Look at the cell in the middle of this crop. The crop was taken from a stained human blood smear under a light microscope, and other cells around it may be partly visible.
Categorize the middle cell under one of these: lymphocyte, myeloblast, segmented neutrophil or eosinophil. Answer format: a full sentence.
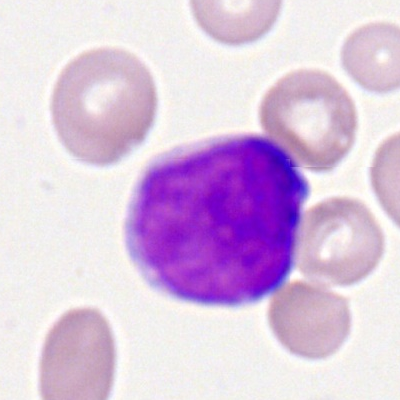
The cell nearest the centre of this crop is a myeloblast.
